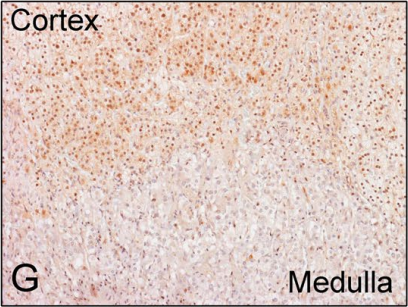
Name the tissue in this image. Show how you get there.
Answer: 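Outer zone of cords of cells with stained nuclei. Inner paler zone with different cell arrangement. So: adrenal gland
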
